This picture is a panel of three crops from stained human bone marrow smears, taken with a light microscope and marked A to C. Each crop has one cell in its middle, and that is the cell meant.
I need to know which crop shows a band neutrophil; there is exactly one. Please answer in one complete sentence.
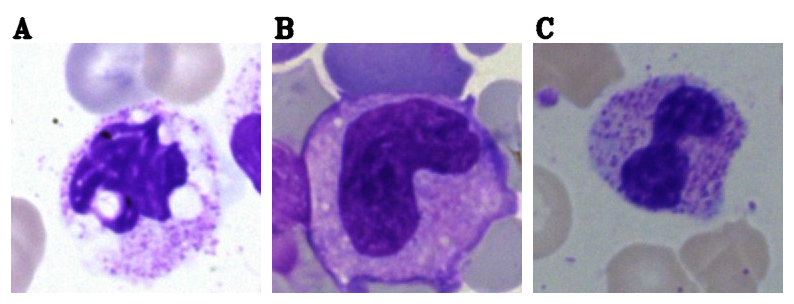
The crop in which a band neutrophil is shown is crop C.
